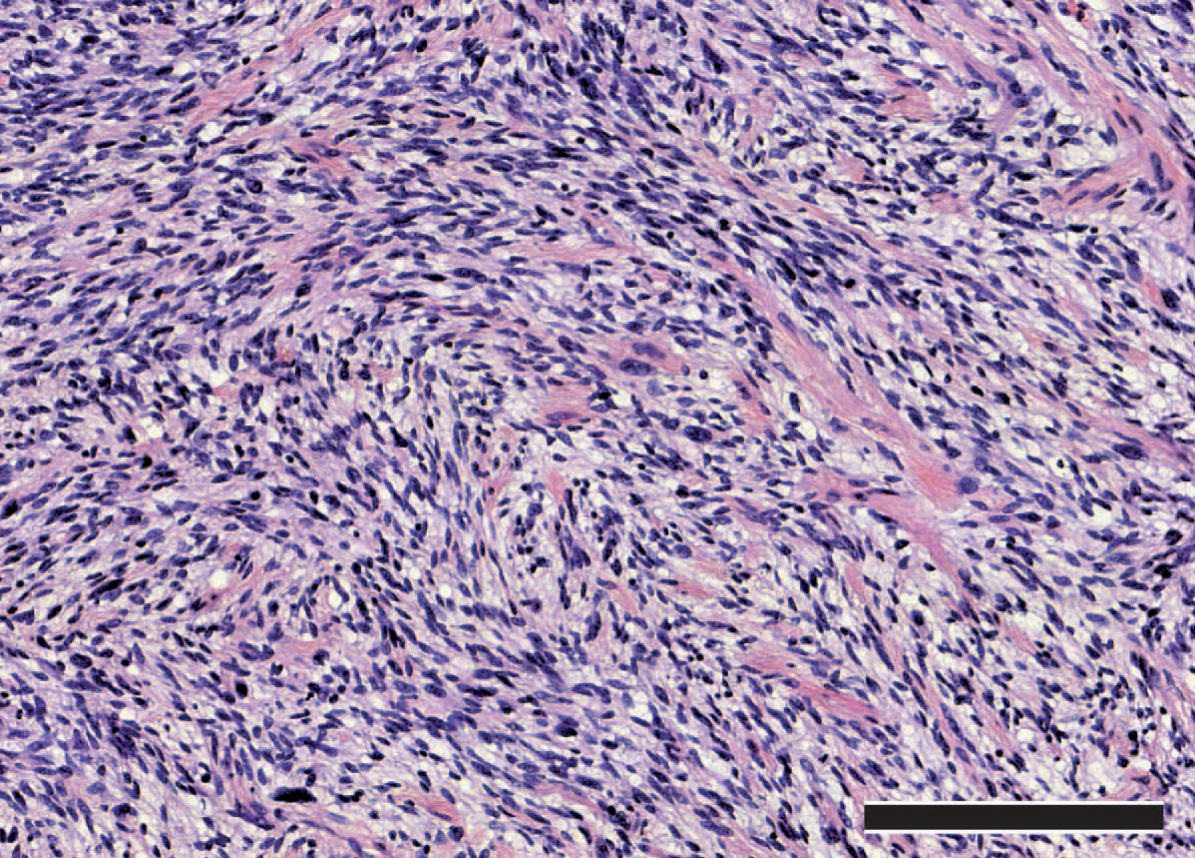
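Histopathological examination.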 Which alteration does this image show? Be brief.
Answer: Hyperchromasia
